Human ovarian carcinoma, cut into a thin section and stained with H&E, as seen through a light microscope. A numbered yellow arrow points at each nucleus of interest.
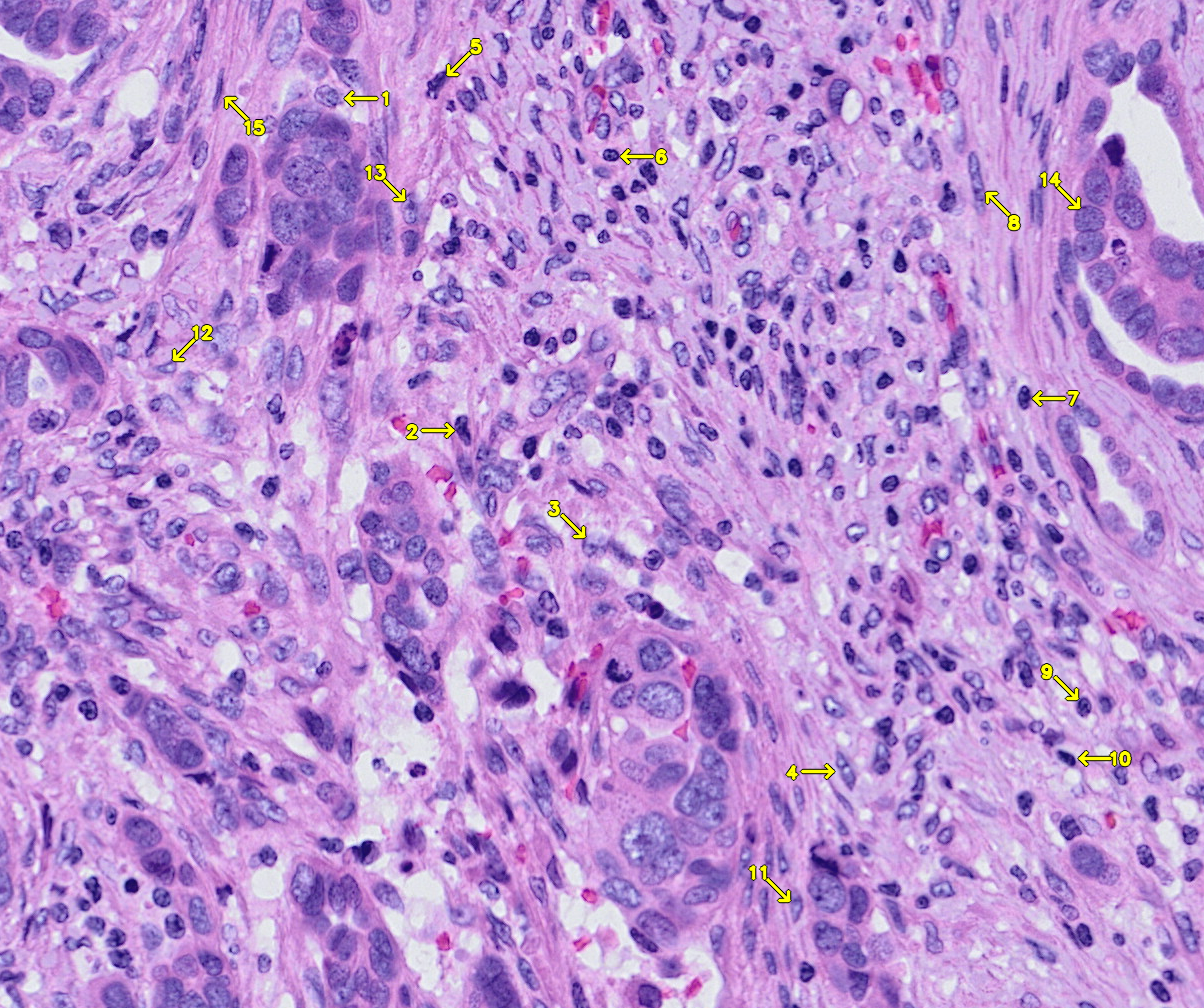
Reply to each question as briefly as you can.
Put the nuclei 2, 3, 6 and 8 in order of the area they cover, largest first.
8, 3, 2, 6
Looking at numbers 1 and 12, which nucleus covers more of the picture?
1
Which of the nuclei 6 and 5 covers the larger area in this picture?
5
